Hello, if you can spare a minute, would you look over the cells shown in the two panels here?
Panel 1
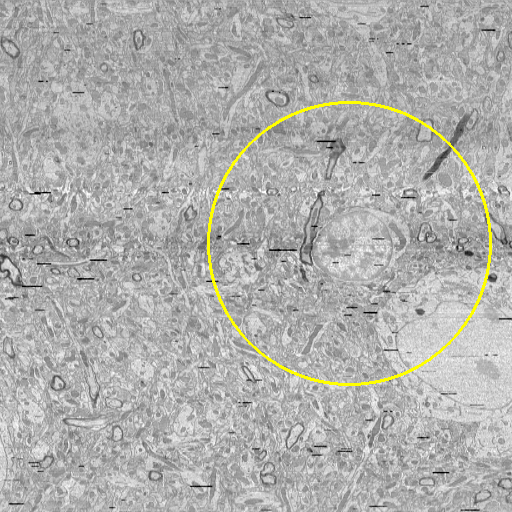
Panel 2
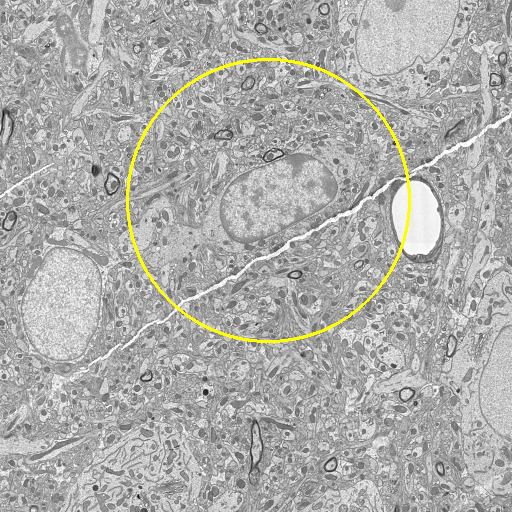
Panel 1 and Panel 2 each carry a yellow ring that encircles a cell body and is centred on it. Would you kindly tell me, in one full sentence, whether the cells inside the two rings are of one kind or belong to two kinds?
The cells at the centres of the rings in Panel 1 and Panel 2 are of one kind.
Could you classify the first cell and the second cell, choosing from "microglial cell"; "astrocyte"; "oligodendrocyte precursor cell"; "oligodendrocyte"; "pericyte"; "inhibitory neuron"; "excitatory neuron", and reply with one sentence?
Each cell at the centre of a ring is an oligodendrocyte.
